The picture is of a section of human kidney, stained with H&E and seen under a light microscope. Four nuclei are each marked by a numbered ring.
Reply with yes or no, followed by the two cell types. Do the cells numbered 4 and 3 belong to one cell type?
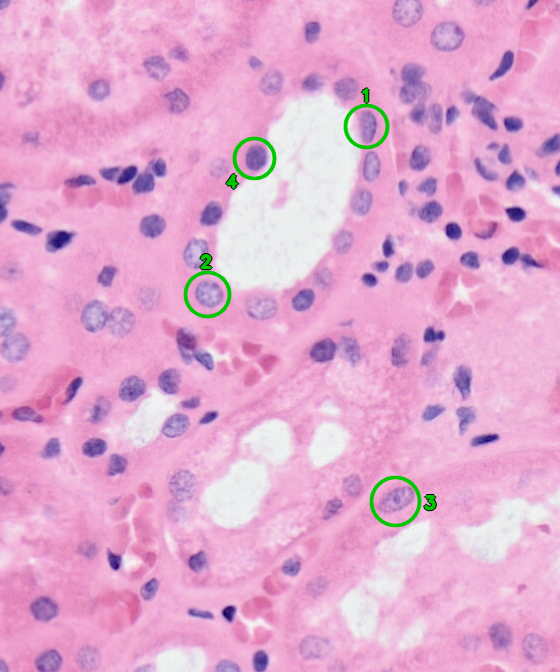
No, that's wrong; cell 4 is a loop of Henle or distal tubule cell and cell 3 is a proximal tubule cell.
